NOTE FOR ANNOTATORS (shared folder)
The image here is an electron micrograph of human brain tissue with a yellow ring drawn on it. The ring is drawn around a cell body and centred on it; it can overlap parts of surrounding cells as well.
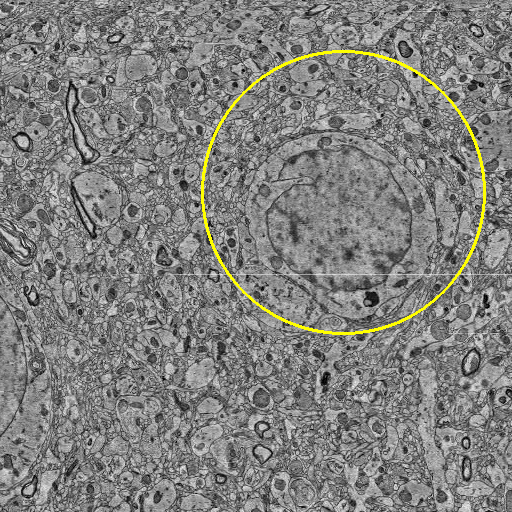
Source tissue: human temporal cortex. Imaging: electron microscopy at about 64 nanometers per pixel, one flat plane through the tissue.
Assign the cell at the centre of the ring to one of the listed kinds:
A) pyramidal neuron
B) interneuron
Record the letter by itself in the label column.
B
